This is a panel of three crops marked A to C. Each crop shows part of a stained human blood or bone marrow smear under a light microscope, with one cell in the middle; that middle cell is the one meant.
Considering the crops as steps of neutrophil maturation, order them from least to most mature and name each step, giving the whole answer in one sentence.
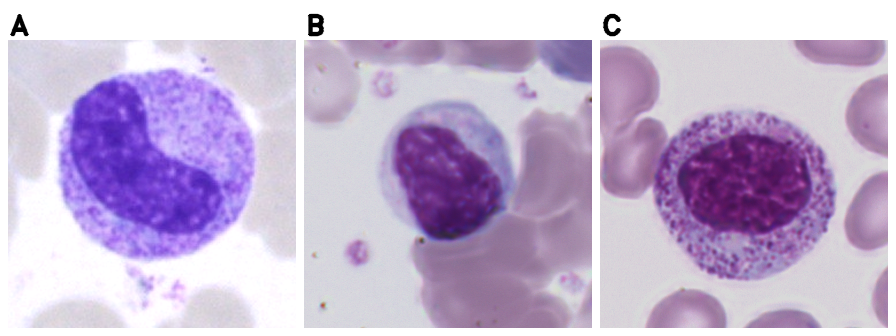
Ordered from the youngest stage to the most mature, the crops are crop C (a myelocyte), crop B (a metamyelocyte) and crop A (a band neutrophil).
